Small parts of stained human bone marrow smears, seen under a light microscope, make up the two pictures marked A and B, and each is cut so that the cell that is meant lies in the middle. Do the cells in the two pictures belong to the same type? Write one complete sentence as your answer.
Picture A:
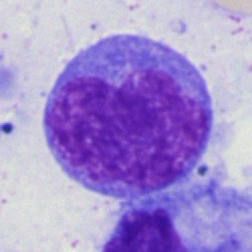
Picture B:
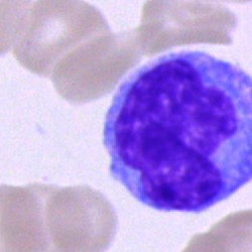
Yes; the cells in both pictures are monocytes.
